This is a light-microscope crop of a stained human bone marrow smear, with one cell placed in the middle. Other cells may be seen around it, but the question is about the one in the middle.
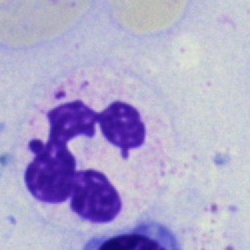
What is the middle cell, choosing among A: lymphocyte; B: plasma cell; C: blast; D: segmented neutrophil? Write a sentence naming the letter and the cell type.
What option D states is correct, the central cell being a segmented neutrophil.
